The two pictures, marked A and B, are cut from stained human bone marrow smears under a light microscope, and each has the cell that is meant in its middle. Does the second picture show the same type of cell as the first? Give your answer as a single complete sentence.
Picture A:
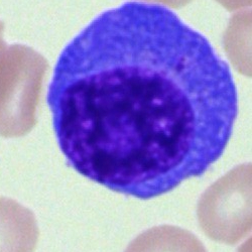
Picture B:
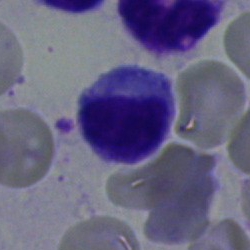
No, picture A shows a plasma cell and picture B shows a lymphocyte.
